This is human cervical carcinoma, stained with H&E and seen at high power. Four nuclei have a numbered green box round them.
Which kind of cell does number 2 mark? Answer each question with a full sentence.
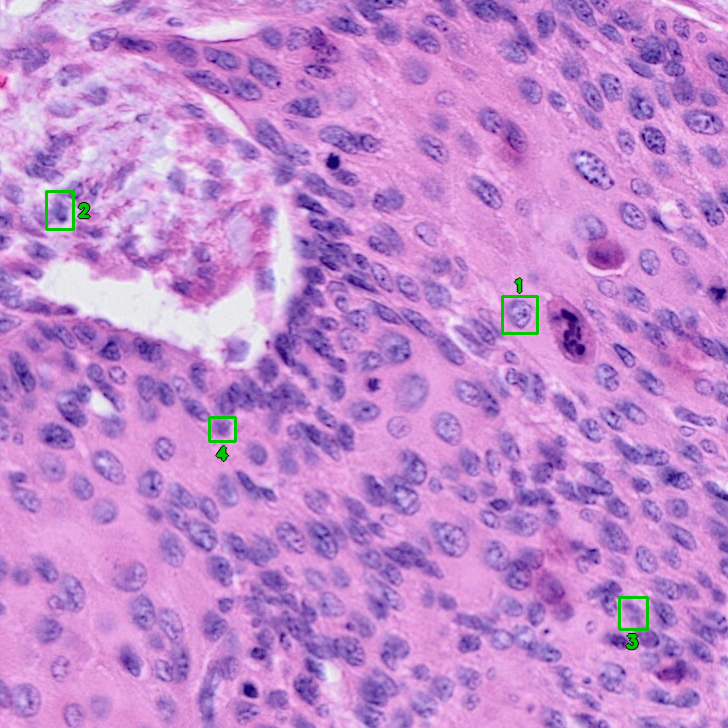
The one labeled 2 is a fibroblast, to put it simply.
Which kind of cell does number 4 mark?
The nucleus labeled 4 belongs to a squamous carcinoma cell.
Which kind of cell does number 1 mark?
That cell with number 1 is a squamous carcinoma cell.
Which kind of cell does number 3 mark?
The cell with the number 3 is a squamous carcinoma cell.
